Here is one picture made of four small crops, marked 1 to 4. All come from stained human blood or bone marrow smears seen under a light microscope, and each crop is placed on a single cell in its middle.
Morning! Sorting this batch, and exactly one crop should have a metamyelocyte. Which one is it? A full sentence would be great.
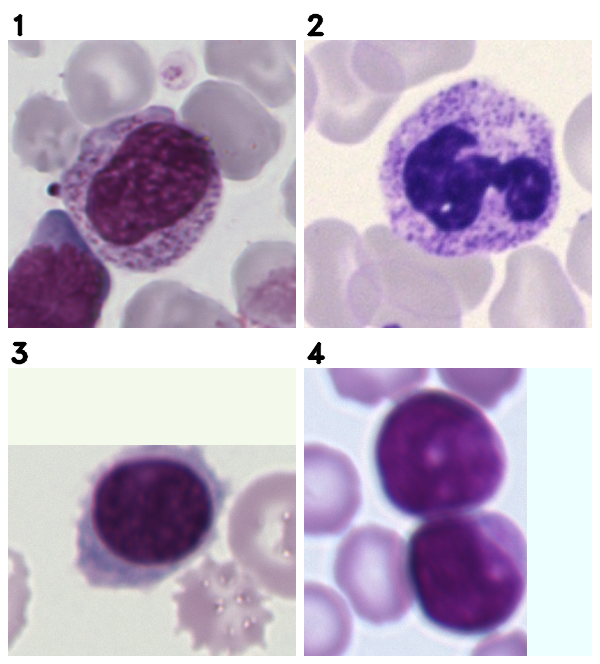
In the set of crops, crop 1 is the one that contains a metamyelocyte.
